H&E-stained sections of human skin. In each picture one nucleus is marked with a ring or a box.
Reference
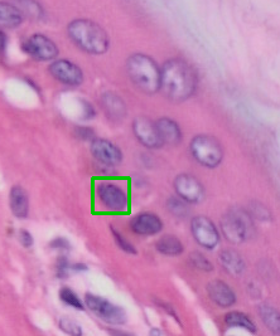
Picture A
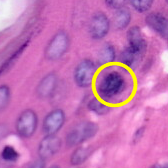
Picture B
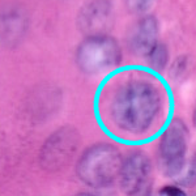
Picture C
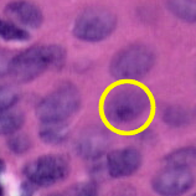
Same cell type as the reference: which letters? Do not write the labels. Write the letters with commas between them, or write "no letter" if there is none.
A, B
